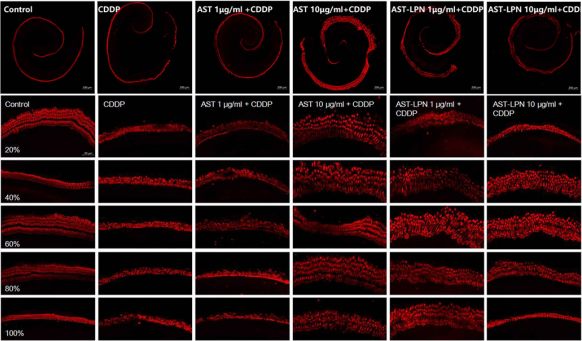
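The top row shows the whole spiral at low power. Below it, strips from along the coil show the hair cells at higher power. In the best-preserved strips the cells lie in neat parallel rows, one inner row and three outer rows, packed closely side by side like beads on strings. In other strips the rows are broken up.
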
